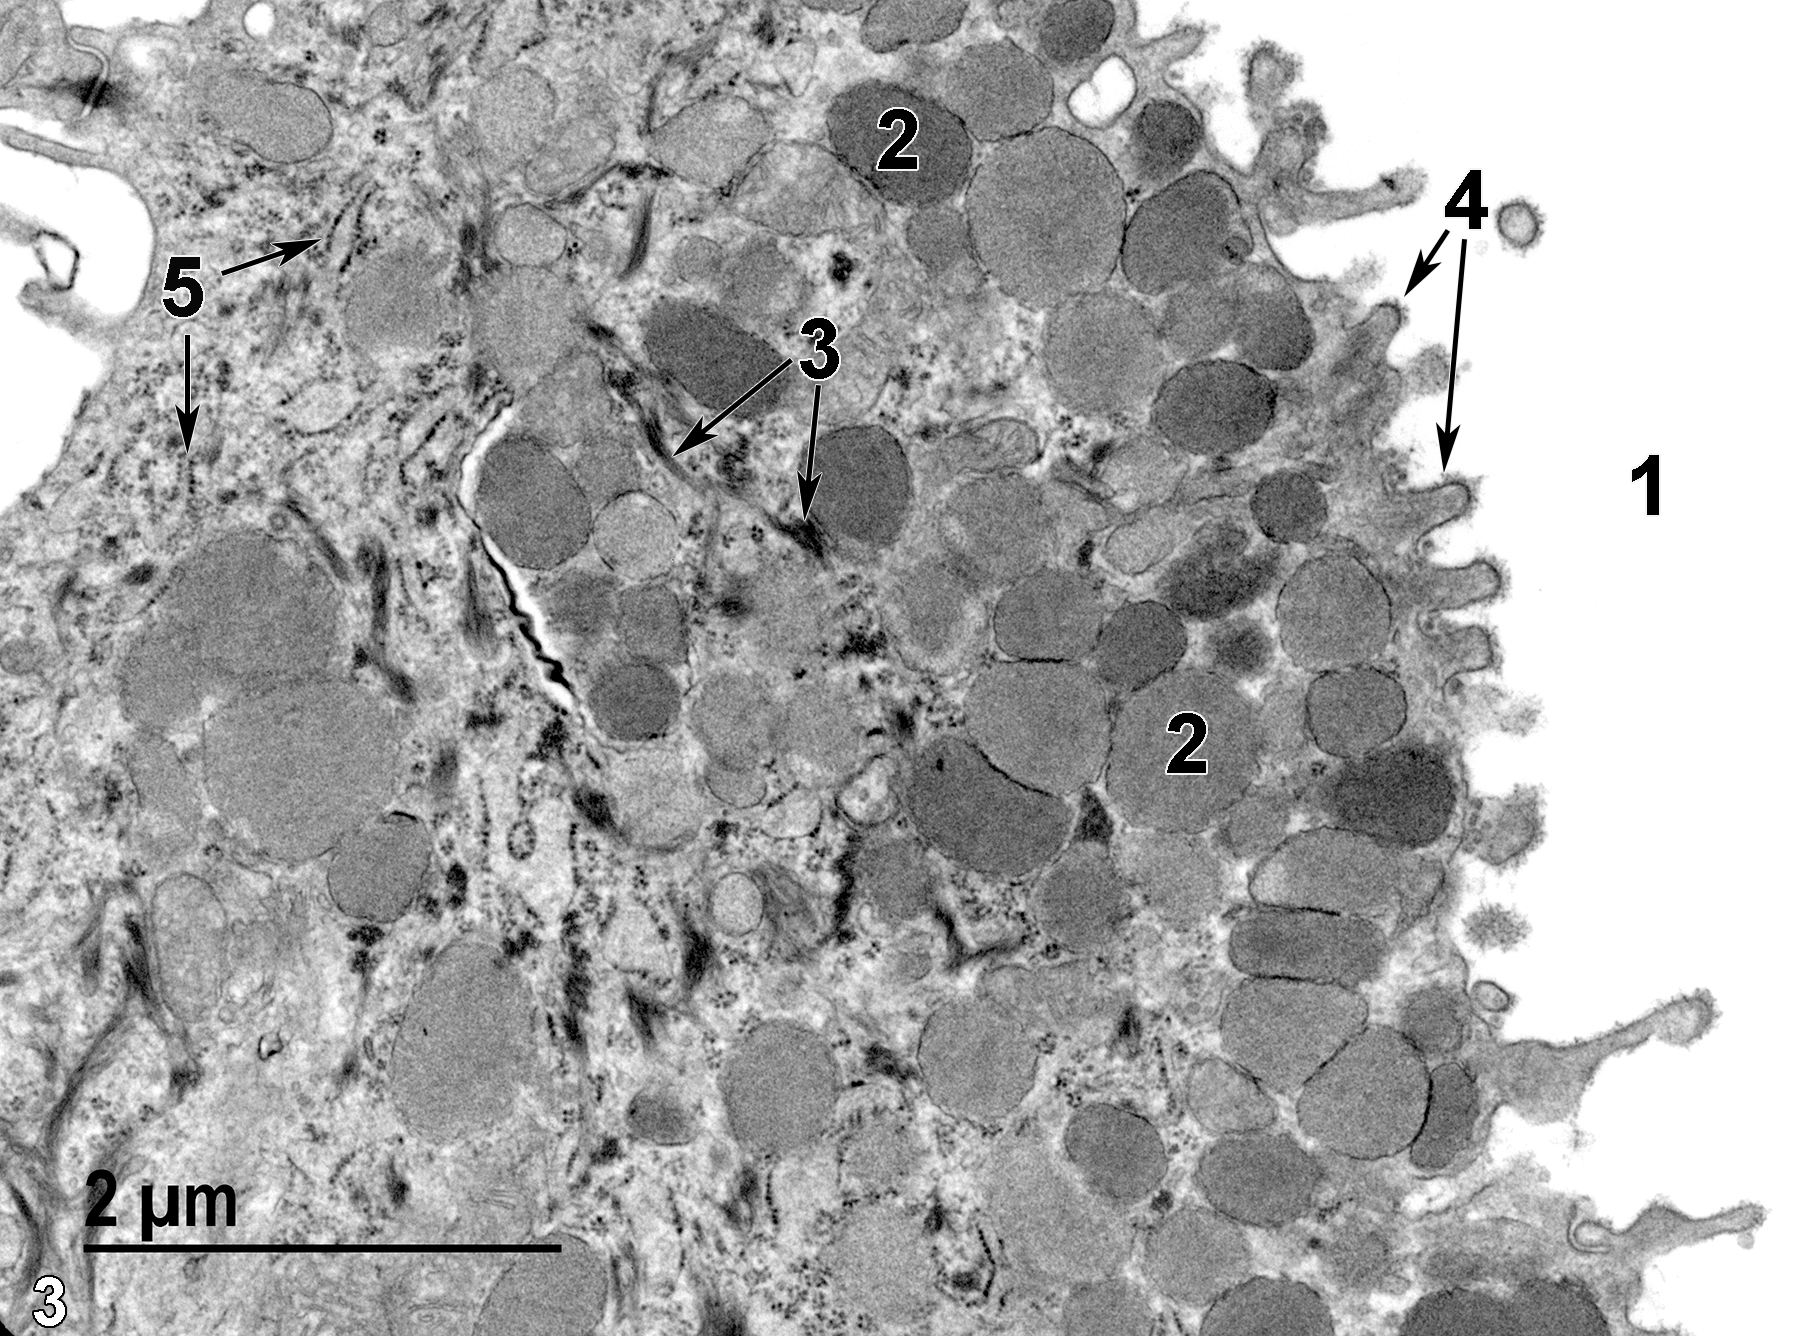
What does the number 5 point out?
Rough endoplasmic reticulum elements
